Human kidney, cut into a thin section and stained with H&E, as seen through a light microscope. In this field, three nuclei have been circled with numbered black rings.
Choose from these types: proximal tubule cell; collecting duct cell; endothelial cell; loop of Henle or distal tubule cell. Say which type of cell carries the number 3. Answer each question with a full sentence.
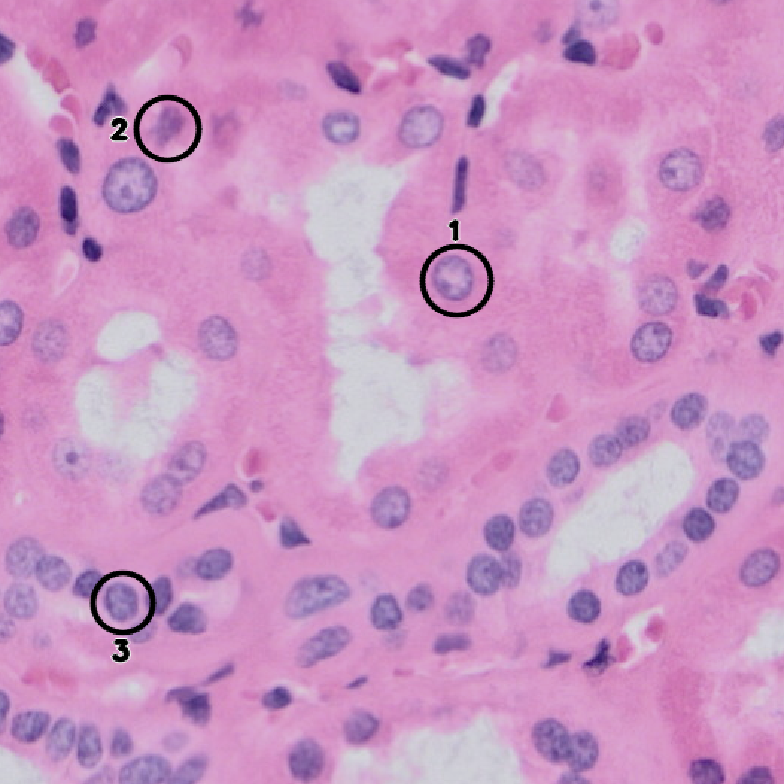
The cell to which the number 3 is assigned is a collecting duct cell.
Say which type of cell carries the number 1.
The correct answer for cell 1 is a proximal tubule cell.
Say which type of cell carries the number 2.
Cell 2 of the marked set is a proximal tubule cell.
